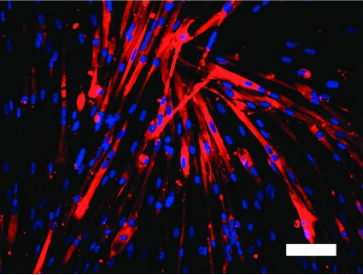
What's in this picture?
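This field shows cultured skeletal muscle cells, with myotubes filled in red. They are long, narrow cells, some wider in the middle and tapering to thin ends, and here they cross one another in several directions, converging toward the centre. Oval blue nuclei sit within some of the red tubes, more than one per cell, while many other blue nuclei lie scattered over the dark background between them, in cells without red filling. The nuclei are fairly uniform in size and shape, smooth ovals. Occasional small bright red dots are staining artifacts rather than cells.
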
